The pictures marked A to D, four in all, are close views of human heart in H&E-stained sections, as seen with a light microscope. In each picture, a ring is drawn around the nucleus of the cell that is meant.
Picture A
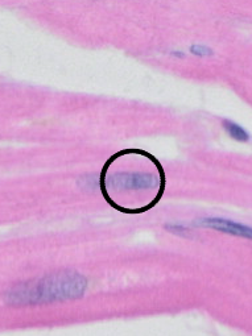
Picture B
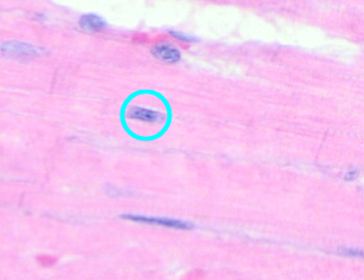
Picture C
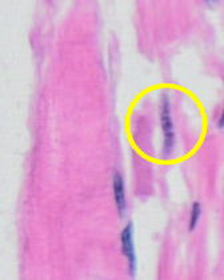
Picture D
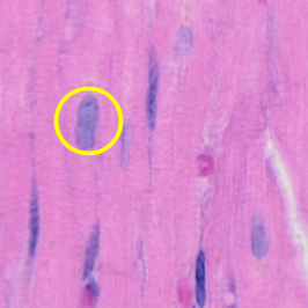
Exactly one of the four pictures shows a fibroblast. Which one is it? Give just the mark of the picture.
C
